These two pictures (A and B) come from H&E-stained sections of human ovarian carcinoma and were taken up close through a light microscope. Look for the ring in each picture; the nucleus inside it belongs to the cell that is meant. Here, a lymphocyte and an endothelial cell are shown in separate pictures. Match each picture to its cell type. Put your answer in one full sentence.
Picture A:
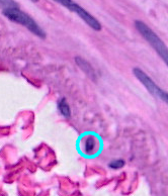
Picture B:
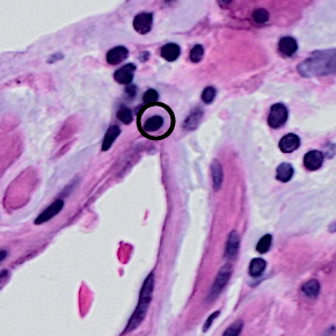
Picture A is of an endothelial cell, and picture B is of a lymphocyte.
